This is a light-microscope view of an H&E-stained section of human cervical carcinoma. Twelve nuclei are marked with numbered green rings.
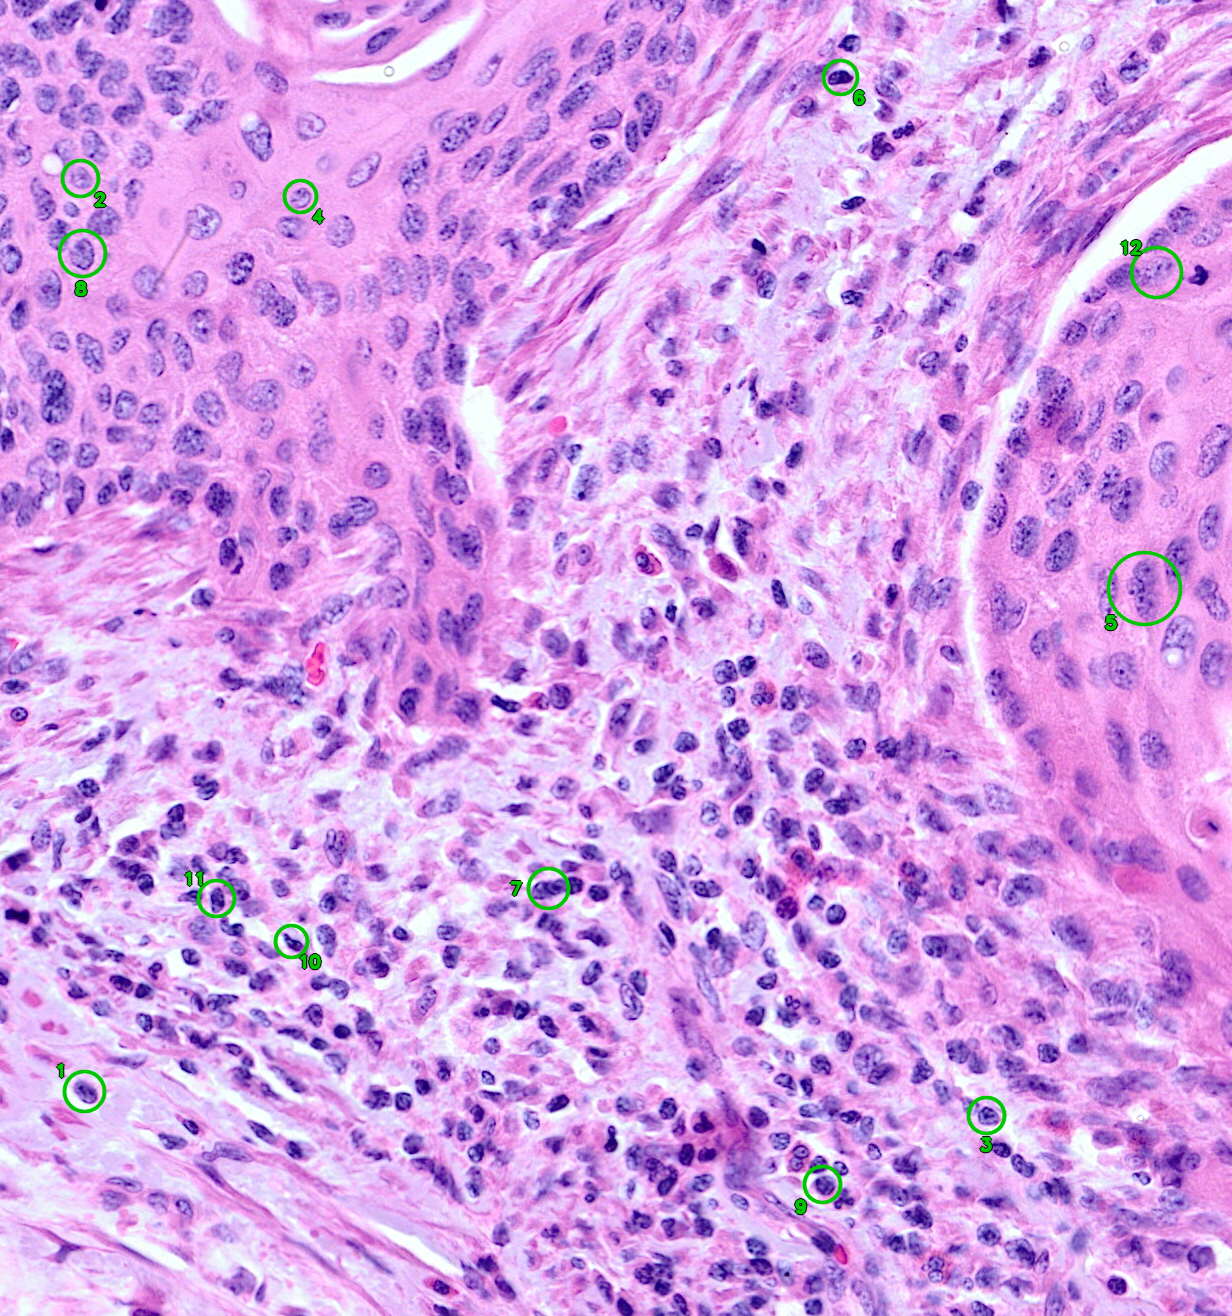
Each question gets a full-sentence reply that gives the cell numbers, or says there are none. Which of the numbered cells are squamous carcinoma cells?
Cells that were given the numbers 2, 4, 5, 8 and 12 are squamous carcinoma cells.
